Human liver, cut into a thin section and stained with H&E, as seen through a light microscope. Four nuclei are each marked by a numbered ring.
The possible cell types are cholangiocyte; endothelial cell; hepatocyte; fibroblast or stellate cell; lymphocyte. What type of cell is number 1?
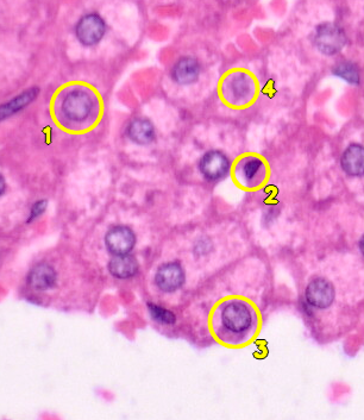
hepatocyte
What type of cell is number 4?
hepatocyte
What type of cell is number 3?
hepatocyte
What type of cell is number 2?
fibroblast or stellate cell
